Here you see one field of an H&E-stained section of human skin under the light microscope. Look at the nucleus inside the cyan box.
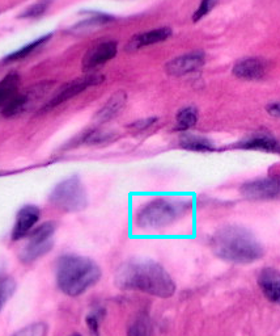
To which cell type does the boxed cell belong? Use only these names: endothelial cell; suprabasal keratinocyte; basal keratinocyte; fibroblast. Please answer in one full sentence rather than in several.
In the tissue at hand, the boxed cell is an endothelial cell.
